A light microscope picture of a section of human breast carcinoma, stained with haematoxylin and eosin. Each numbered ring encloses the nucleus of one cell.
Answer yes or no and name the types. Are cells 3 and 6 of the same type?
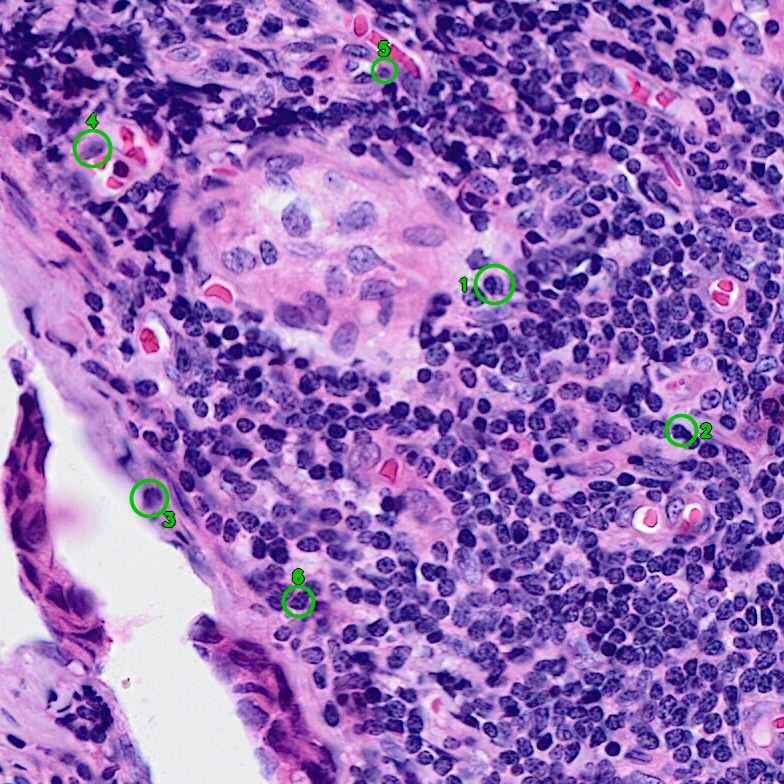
Yes, of the numbered cells, 3 and 6 are both lymphocytes.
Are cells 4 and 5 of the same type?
Yes, cells 4 and 5 are endothelial cells, both of them.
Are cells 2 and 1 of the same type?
Yes, both cells 2 and 1 are lymphocytes.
